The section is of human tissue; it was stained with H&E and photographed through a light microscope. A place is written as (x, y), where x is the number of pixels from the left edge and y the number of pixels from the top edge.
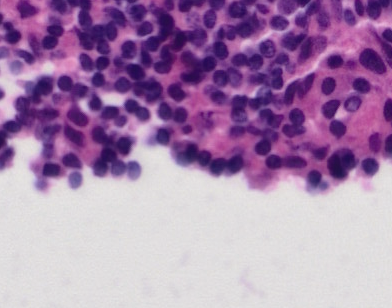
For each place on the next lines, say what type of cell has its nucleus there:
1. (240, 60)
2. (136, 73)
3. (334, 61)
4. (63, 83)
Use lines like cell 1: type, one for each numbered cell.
cell 1: small lymphocyte
cell 2: small lymphocyte
cell 3: plasma cell
cell 4: small lymphocyte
